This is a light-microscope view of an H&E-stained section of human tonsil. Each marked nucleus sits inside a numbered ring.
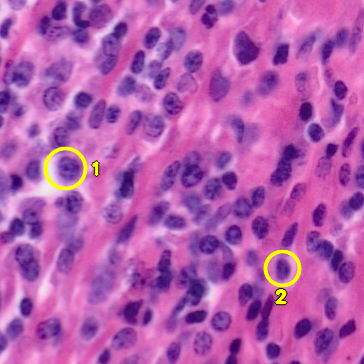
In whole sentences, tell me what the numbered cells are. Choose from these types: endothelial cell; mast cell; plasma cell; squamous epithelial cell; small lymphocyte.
Cell 1 is a plasma cell. Cell 2 is a mast cell.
